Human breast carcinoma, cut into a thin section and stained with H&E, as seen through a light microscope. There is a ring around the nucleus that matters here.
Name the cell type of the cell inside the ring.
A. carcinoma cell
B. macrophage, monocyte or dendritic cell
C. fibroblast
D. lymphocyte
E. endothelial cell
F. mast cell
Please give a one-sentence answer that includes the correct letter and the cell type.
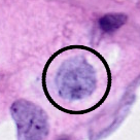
Looking at the options, pick A; the cell inside the ring is a carcinoma cell.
